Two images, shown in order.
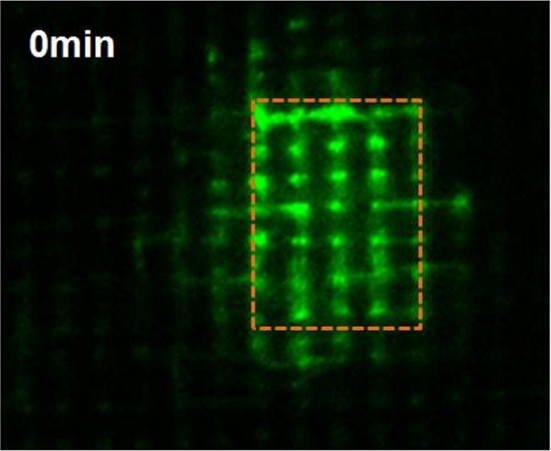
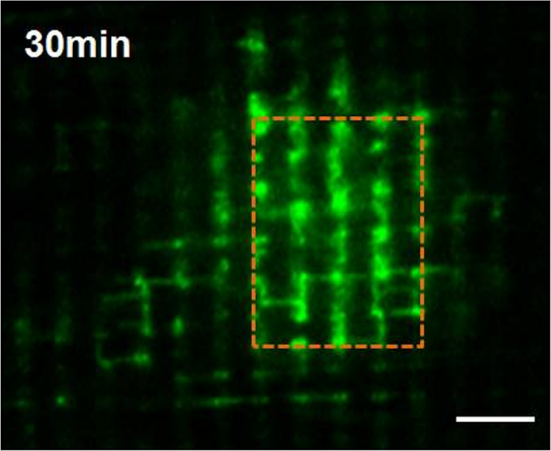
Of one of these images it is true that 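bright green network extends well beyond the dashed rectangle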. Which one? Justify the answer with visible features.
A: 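Second image: bright green strands and dots spread outside the rectangle, especially to the lower left. First image: bright signal is concentrated within the rectangle, with fainter surroundings. That points to this answer: the second image.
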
